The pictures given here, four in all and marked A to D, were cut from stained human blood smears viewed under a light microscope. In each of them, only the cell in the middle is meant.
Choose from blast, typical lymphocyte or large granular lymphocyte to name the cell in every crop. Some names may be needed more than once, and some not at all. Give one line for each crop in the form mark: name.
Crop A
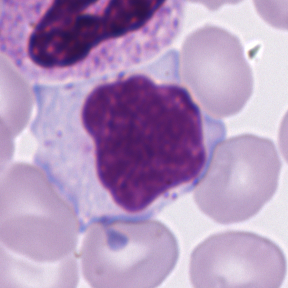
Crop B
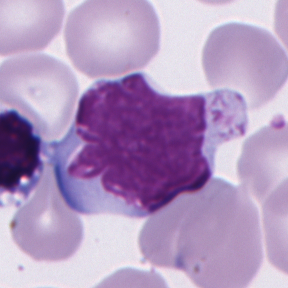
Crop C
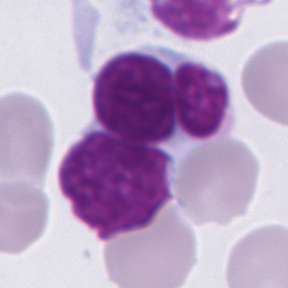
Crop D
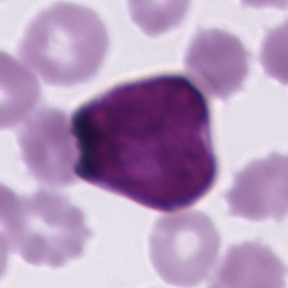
A: large granular lymphocyte
B: large granular lymphocyte
C: blast
D: blast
